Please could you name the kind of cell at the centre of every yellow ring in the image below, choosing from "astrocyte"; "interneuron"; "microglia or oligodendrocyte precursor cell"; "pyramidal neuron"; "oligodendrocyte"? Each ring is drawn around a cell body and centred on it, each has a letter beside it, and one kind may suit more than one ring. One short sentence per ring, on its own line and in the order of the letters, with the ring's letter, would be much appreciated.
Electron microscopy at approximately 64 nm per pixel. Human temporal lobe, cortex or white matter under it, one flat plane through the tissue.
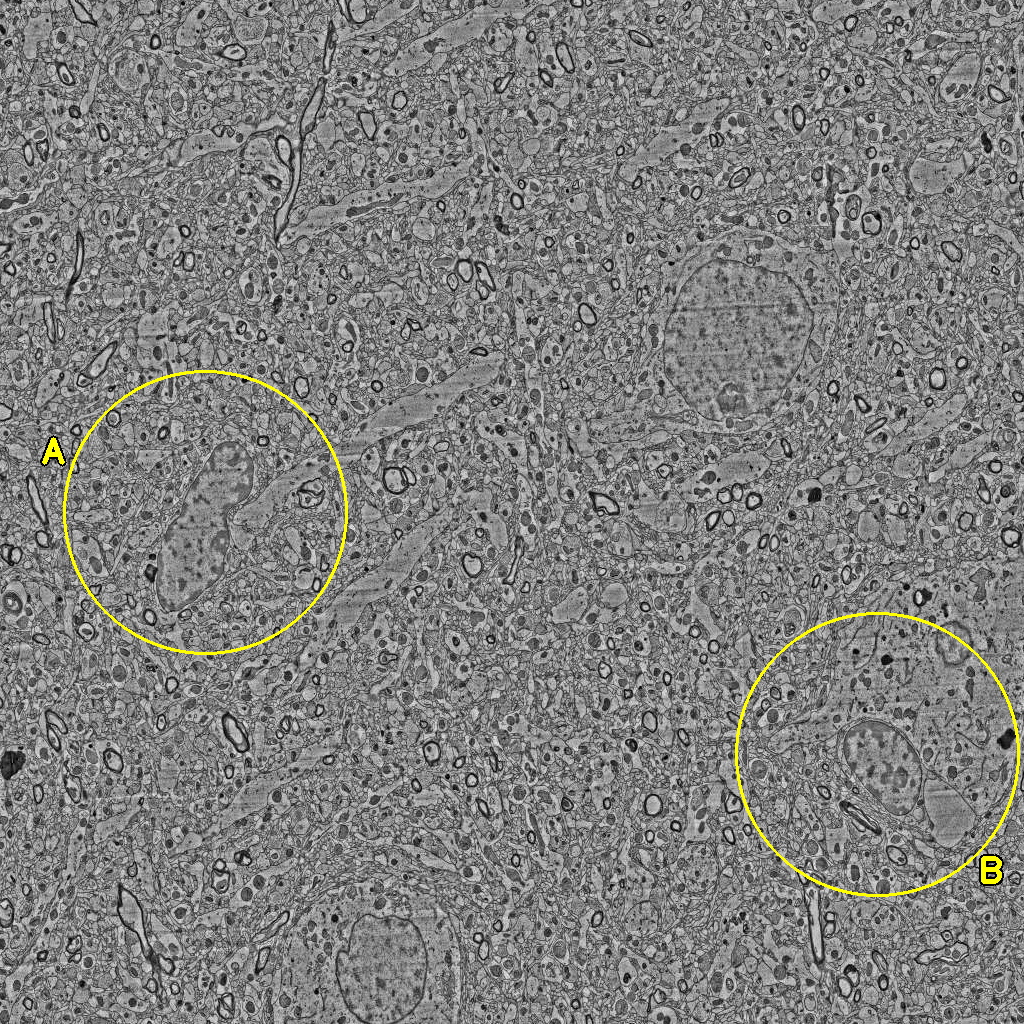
The cell in the middle of ring A is a microglial cell or oligodendrocyte precursor cell.
The cell in the middle of ring B is a microglial cell or oligodendrocyte precursor cell.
